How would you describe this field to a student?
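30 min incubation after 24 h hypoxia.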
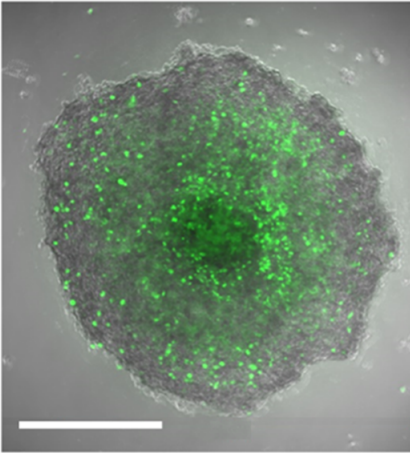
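Multicellular spheroid seen in brightfield, a compact round-to-irregular aggregate of densely packed cells with a slightly ragged, bulging outer rim. The centre is darker than the periphery, as expected of a thick three-dimensional body. Many bright green punctate spots are scattered throughout the aggregate, including at its outer edge, with a fainter diffuse green haze in the middle. A few loose cells and small debris lie outside the aggregate on the pale background.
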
